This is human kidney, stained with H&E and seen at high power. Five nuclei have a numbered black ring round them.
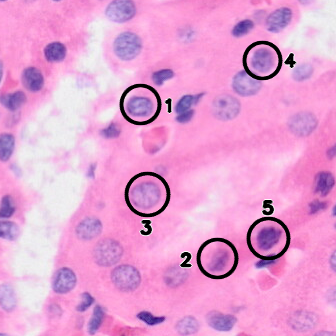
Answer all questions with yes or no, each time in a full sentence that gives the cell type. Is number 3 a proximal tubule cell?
Yes, it is a proximal tubule cell that carries the number 3.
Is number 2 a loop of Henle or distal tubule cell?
No, at number 2 sits a proximal tubule cell, not a loop of Henle or distal tubule cell.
